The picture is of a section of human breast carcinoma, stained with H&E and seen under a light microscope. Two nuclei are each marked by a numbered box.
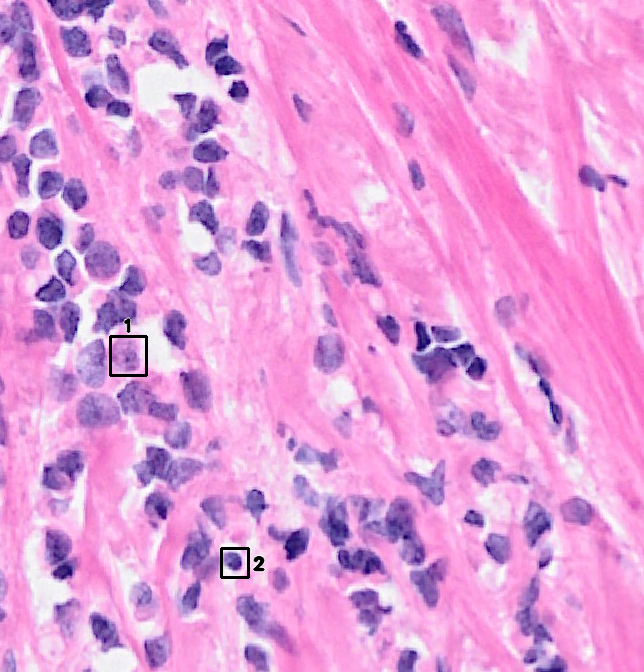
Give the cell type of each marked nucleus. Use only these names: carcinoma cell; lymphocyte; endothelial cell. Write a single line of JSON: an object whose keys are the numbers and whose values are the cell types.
{"1": "carcinoma cell", "2": "lymphocyte"}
